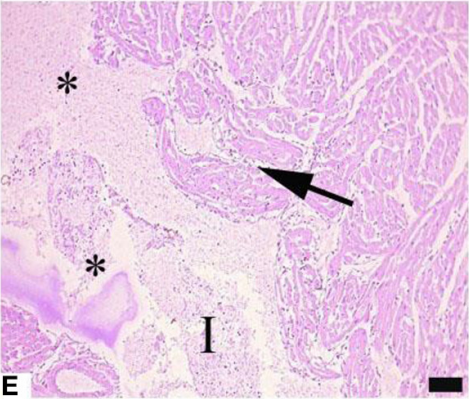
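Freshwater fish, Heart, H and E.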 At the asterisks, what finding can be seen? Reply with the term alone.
Edema.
